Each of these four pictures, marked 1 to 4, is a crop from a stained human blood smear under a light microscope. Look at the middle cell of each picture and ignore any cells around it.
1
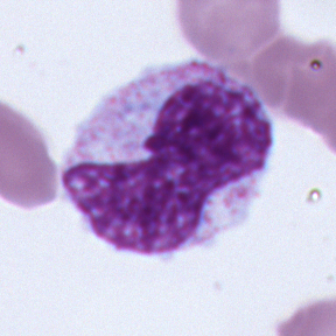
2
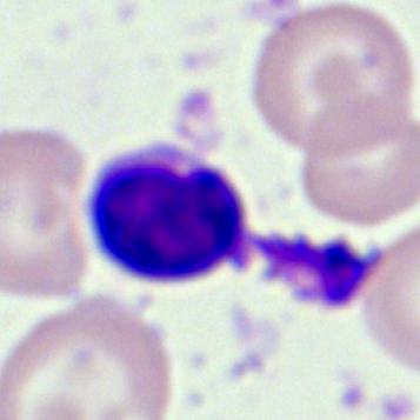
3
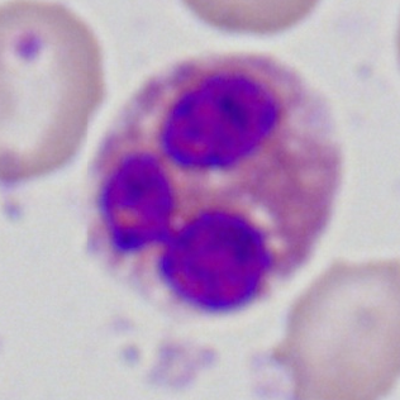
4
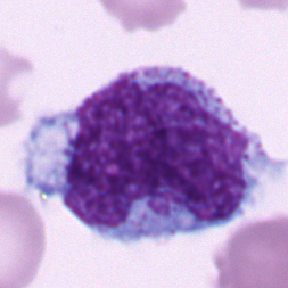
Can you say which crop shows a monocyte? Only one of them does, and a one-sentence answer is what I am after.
Crop 4 is the crop that shows a monocyte in its middle.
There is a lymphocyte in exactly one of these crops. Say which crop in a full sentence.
Identified crop: 2, the one that shows a lymphocyte.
